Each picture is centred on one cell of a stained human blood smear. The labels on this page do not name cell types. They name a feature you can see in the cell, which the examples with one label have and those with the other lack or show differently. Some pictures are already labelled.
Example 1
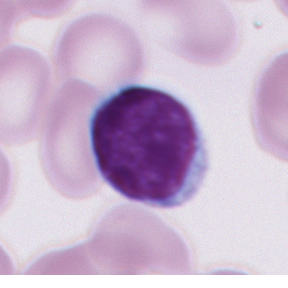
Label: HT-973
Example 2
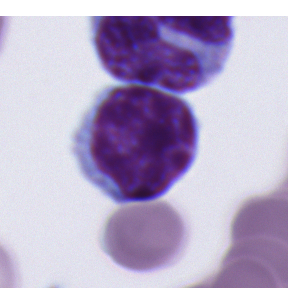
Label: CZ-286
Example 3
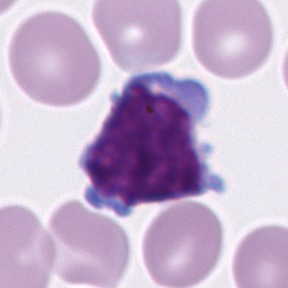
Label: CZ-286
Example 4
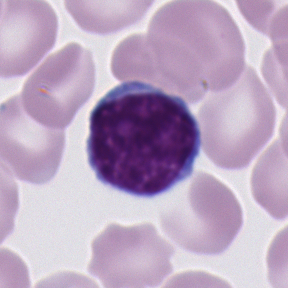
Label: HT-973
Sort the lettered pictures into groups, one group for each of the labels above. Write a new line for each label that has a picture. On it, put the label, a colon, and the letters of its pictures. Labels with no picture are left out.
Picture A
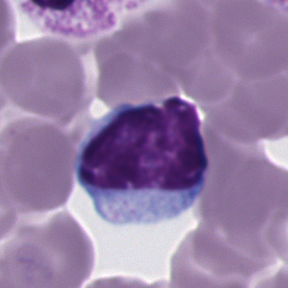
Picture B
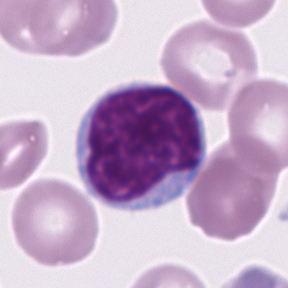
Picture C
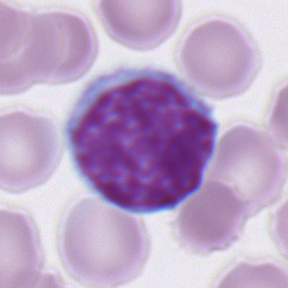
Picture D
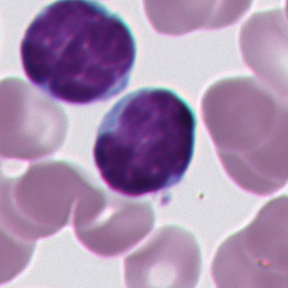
HT-973: A, B, C, D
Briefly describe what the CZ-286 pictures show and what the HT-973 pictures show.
CZ-286, ragged outline or projections; HT-973, smooth outline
